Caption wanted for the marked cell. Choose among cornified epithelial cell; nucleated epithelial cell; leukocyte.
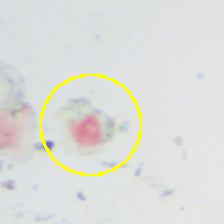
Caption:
Ringed in yellow is a nucleated epithelial cell.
